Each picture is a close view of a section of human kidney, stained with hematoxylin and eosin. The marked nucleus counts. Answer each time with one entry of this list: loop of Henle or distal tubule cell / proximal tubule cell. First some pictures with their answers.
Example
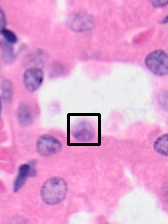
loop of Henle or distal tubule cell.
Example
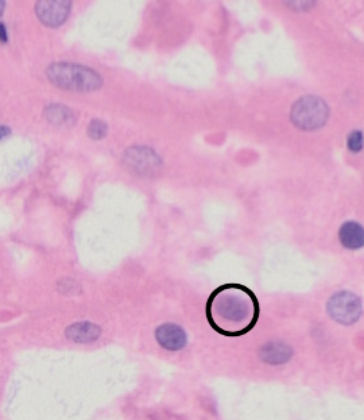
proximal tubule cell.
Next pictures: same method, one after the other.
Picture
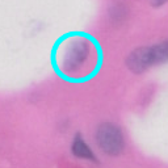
loop of Henle or distal tubule cell.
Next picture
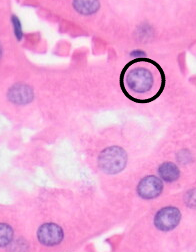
proximal tubule cell.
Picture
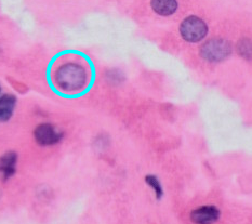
proximal tubule cell.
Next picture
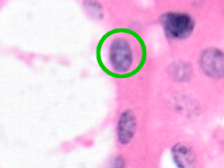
loop of Henle or distal tubule cell.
